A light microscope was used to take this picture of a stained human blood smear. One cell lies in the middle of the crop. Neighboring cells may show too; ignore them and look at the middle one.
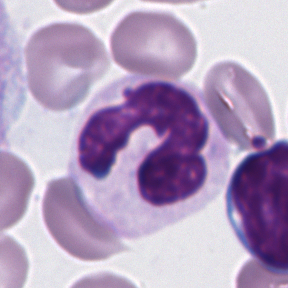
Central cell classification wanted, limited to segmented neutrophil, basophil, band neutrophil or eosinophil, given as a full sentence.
Looking at the middle of the crop, the cell there is a band neutrophil.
